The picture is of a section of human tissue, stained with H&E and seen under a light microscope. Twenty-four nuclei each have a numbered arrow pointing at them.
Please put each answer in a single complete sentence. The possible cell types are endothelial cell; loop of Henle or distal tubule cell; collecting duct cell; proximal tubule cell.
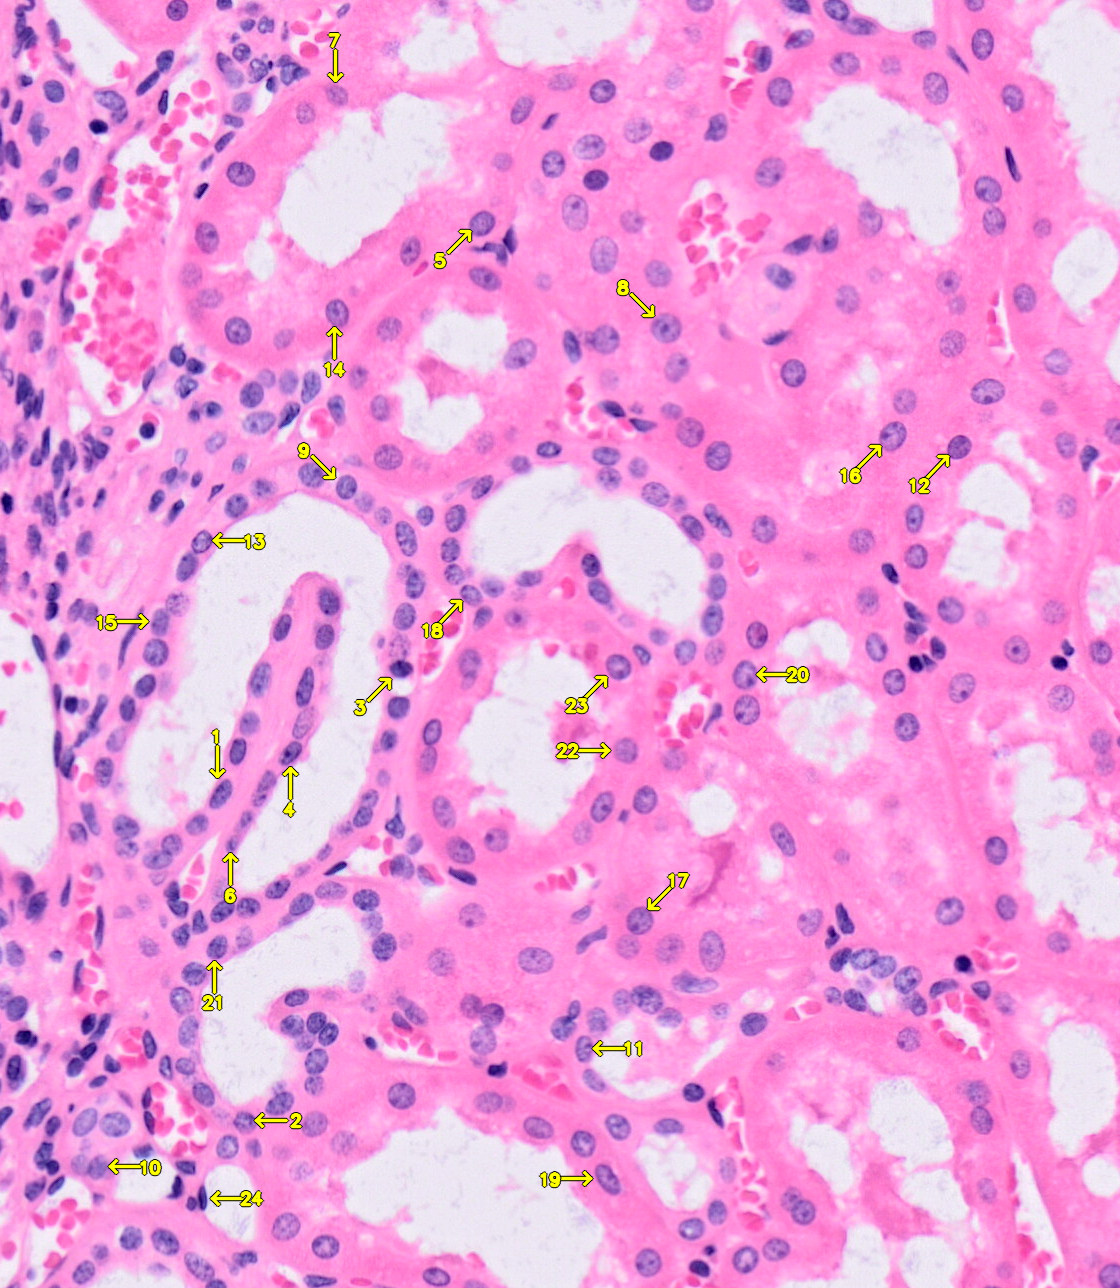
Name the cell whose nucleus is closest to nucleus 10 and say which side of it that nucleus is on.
A collecting duct cell lies closest, to the left of nucleus 10.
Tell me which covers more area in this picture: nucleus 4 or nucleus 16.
Nucleus 16 is the larger one, covering about 1.5 times the area of nucleus 4.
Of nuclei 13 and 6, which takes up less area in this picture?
The smaller nucleus is 6, and 13 covers roughly 2.5 times its area.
